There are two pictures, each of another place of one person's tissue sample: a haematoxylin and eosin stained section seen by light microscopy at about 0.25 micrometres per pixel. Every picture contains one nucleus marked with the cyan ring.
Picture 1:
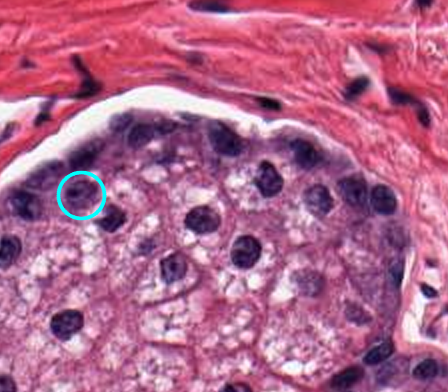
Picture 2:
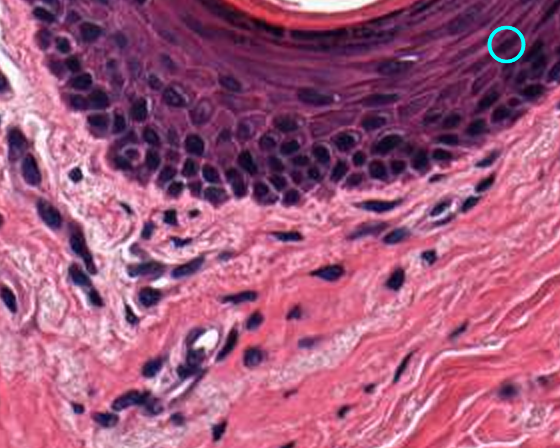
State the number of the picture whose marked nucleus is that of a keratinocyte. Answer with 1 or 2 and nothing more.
2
